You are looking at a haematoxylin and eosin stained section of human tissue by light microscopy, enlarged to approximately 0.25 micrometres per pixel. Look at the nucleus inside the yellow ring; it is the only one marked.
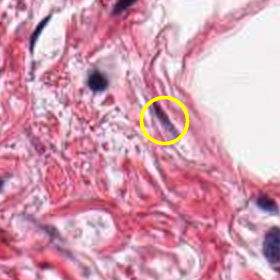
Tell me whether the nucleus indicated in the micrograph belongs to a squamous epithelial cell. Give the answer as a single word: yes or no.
no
